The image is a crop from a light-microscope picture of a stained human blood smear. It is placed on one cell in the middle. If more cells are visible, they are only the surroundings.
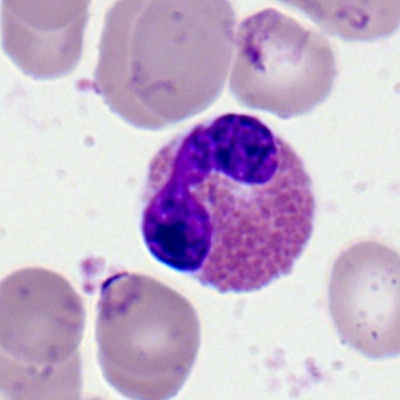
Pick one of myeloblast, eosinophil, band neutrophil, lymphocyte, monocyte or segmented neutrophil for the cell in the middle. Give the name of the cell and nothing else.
eosinophil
